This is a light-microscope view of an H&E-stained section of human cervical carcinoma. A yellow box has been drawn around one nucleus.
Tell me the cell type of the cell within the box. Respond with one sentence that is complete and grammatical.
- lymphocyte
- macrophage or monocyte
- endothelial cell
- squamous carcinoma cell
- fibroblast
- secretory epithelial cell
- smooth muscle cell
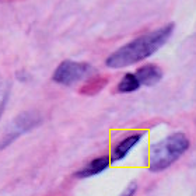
The classification of the cell within the box is as an endothelial cell.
